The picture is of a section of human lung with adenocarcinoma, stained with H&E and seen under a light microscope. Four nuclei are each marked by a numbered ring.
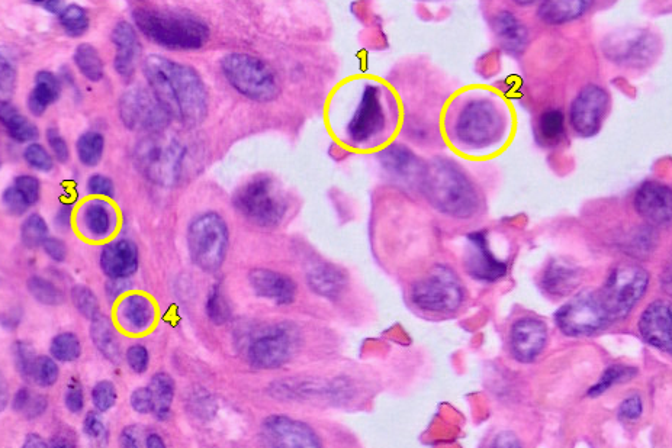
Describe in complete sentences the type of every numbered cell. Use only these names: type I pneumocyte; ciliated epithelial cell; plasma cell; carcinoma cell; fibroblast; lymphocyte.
Cell 1 is a carcinoma cell, cell 2 is a carcinoma cell, cell 3 is a lymphocyte and cell 4 is a lymphocyte.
